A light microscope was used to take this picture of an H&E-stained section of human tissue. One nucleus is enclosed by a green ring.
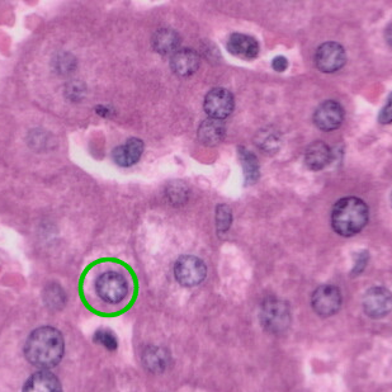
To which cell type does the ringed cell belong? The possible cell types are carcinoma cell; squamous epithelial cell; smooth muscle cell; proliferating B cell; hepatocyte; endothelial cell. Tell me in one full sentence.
The expected answer is simply that the ringed cell is a hepatocyte.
